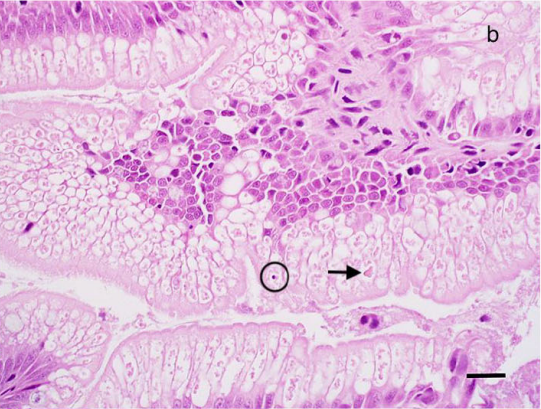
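An irregular intestinal fold is covered by columnar epithelial cells whose cytoplasm is packed with pale, clear vacuoles, giving a foamy appearance. Small pink bodies lie within some of the vacuoles. The fold core contains a cluster of cells with dark purple nuclei and pink cytoplasm, and a small condensed round body sits in a clear space within the epithelium. Neighbouring folds with similar vacuolated columnar epithelium border the lumen.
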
